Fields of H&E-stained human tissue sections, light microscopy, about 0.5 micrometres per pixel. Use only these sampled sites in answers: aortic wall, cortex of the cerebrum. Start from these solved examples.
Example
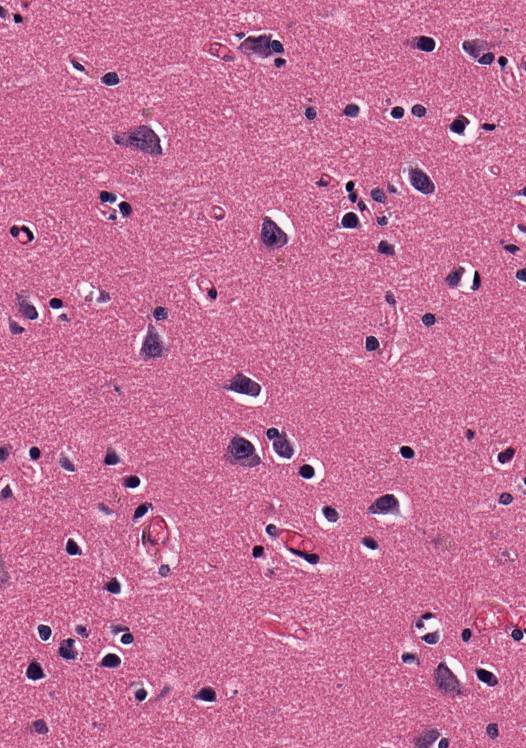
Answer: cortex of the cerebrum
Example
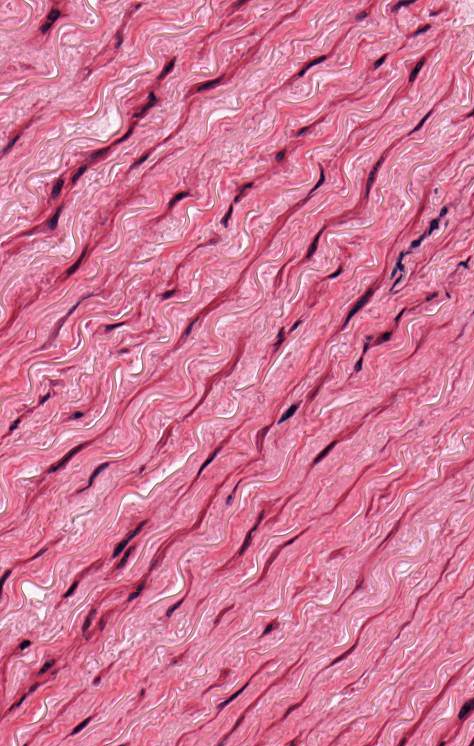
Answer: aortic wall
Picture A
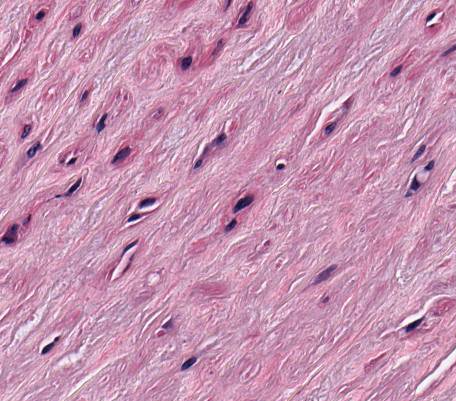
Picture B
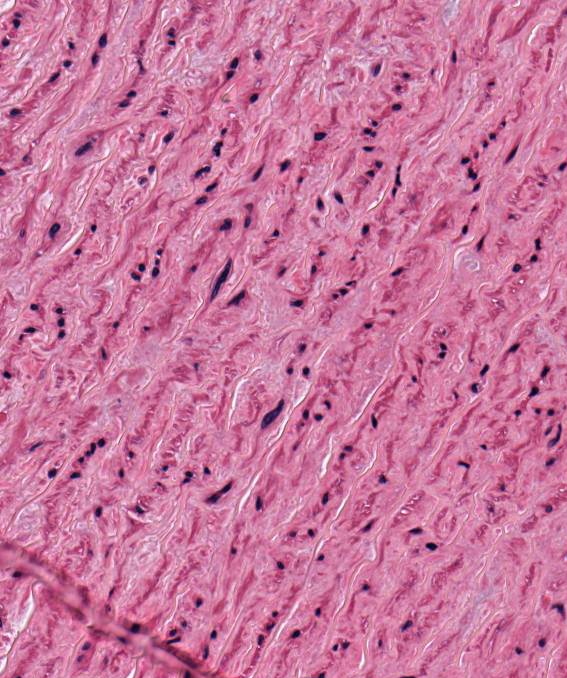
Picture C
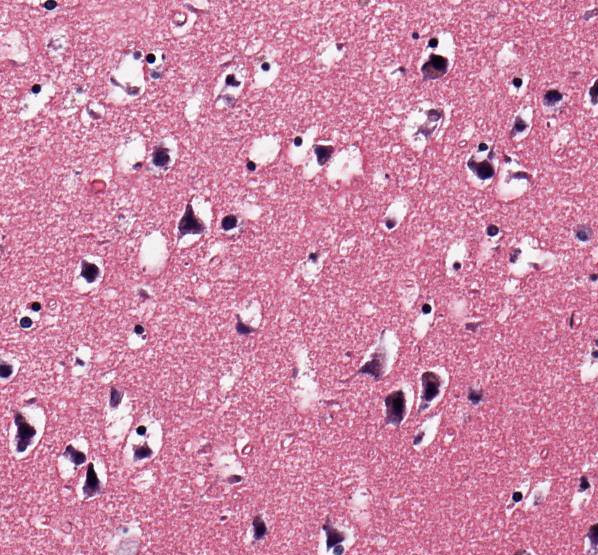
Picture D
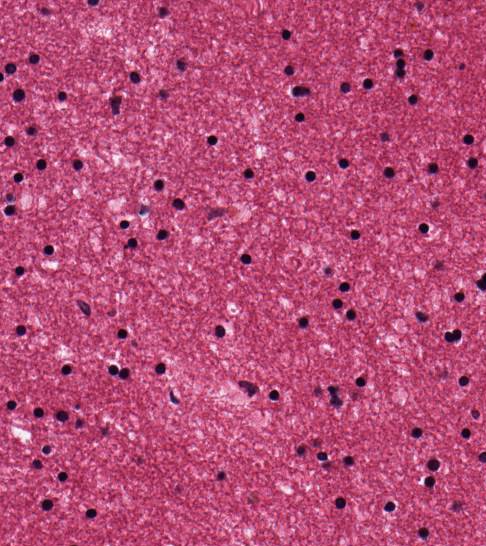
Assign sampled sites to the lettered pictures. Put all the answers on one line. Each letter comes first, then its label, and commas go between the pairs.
A aortic wall, B aortic wall, C cortex of the cerebrum, D cortex of the cerebrum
